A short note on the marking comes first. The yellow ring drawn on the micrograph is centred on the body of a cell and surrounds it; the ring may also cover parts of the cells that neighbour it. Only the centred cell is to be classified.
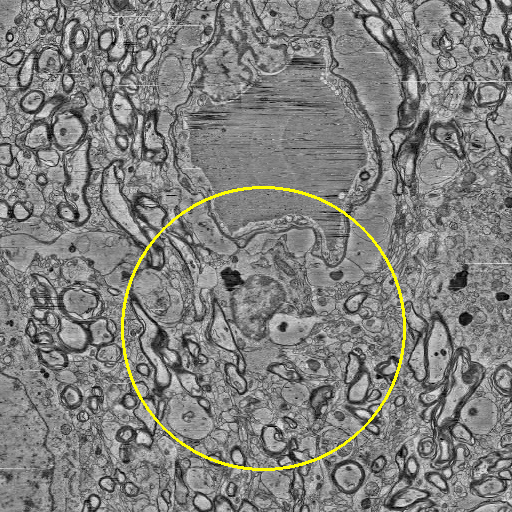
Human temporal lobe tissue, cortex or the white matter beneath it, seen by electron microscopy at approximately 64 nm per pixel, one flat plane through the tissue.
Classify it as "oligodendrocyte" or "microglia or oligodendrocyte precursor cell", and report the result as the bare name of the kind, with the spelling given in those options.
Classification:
oligodendrocyte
